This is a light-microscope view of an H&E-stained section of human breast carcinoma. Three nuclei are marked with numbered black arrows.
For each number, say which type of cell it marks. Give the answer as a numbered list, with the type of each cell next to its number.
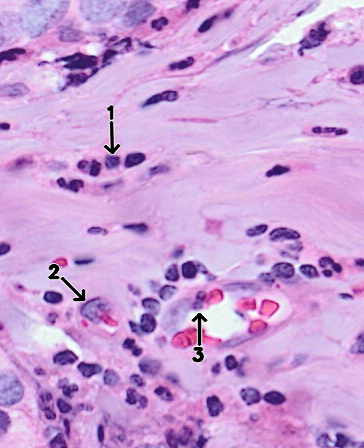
1. lymphocyte
2. endothelial cell
3. endothelial cell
